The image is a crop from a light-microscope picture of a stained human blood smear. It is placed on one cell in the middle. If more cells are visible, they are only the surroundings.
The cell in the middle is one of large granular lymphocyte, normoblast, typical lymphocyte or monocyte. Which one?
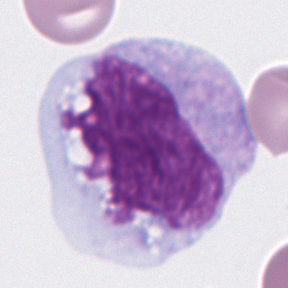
monocyte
